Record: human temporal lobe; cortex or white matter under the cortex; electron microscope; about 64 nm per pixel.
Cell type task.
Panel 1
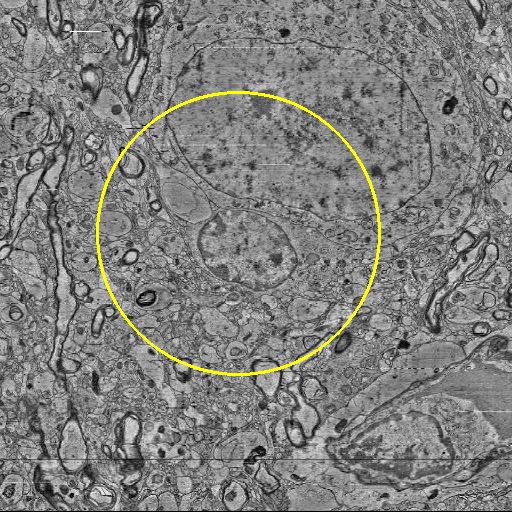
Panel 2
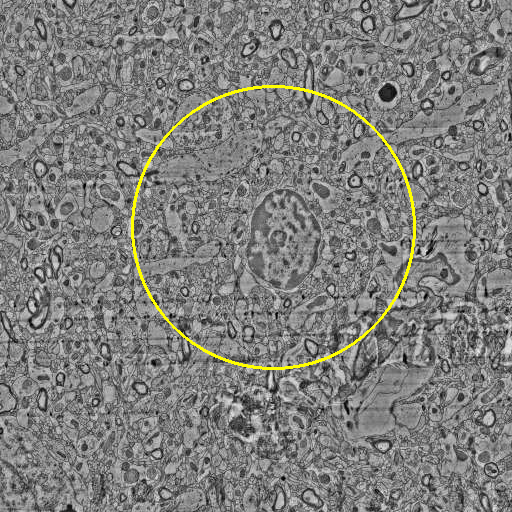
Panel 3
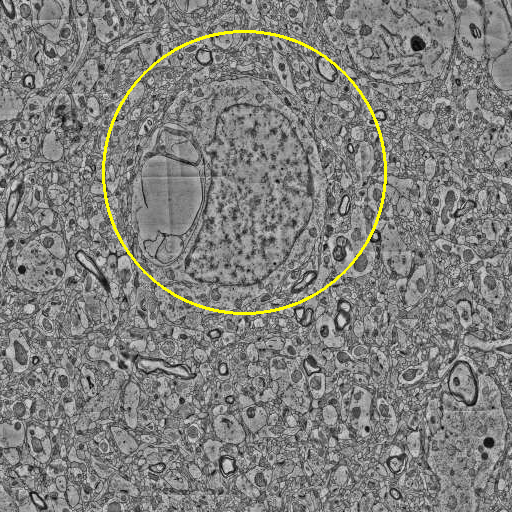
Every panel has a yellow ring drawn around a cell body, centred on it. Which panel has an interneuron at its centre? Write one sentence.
It sits at the centre of the ring in Panel 3.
